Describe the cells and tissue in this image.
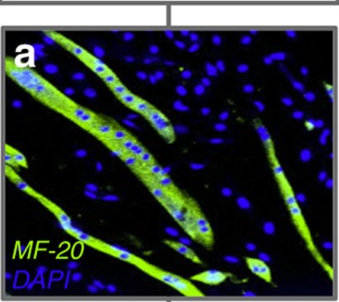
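Differentiated skeletal muscle culture showing long, slender green-stained multinucleated myotubes running diagonally across the field. Each myotube holds several oval blue nuclei lined up along its length, while many scattered single blue nuclei of unfused cells lie between the tubes without green cytoplasm.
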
